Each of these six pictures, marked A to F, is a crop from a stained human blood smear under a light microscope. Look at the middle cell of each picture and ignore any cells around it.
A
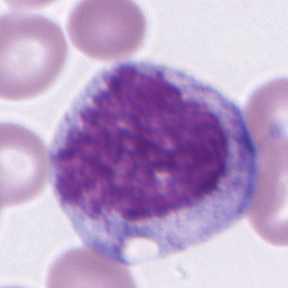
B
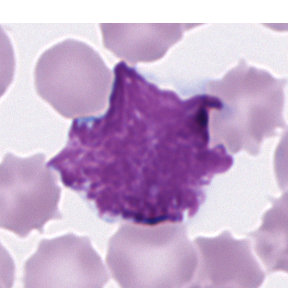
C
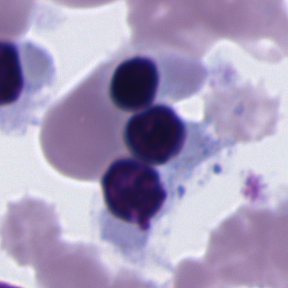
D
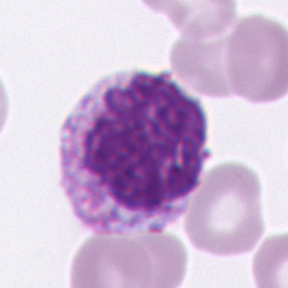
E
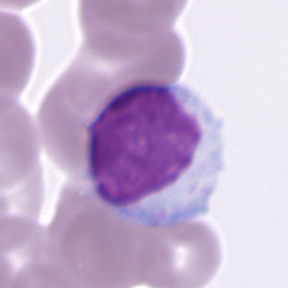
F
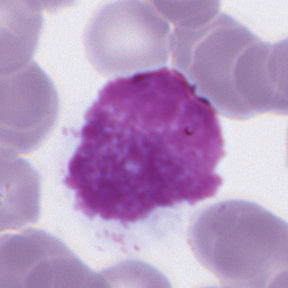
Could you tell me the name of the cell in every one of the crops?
A: promyelocyte
B: smudge cell
C: erythroblast
D: band neutrophil
E: large granular lymphocyte
F: smudge cell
